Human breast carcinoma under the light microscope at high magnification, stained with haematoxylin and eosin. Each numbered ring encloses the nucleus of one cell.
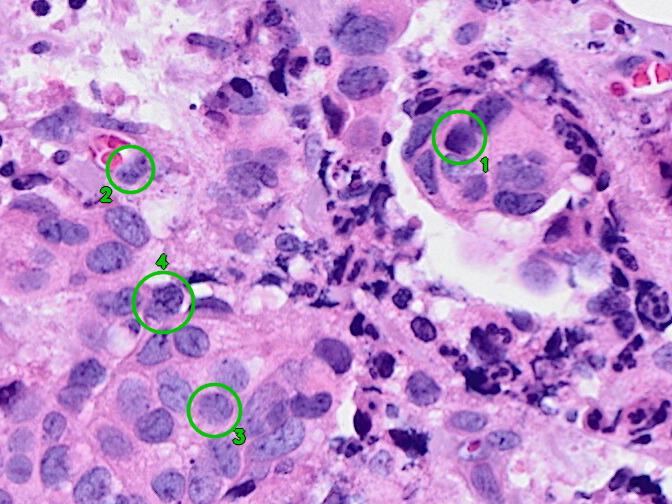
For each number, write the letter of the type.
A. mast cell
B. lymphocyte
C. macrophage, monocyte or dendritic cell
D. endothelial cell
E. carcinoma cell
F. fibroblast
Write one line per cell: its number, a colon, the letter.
1: E
2: D
3: E
4: E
